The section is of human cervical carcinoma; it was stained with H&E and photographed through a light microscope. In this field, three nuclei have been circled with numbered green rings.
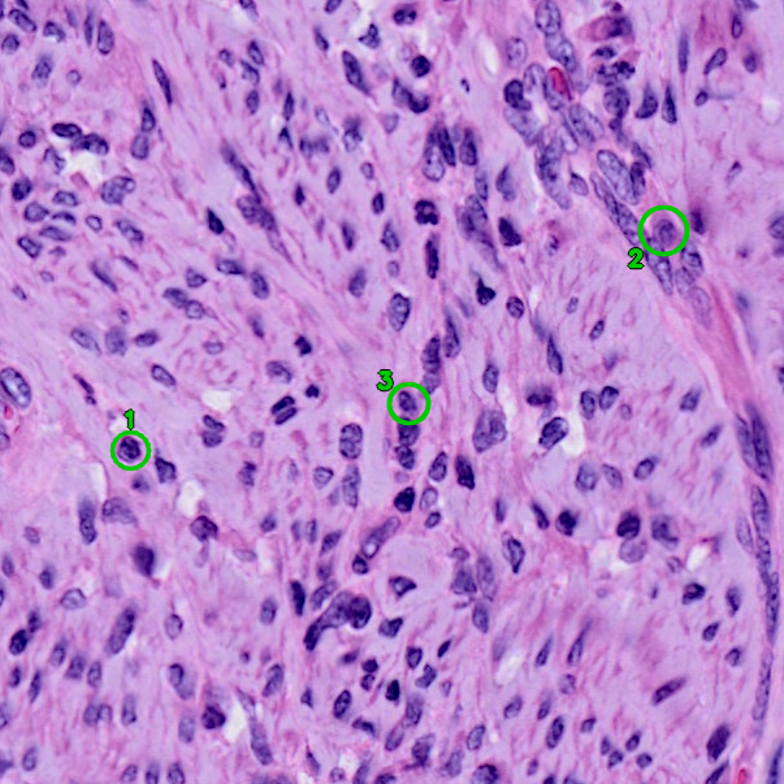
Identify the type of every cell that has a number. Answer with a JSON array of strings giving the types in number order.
["lymphocyte", "endothelial cell", "lymphocyte"]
